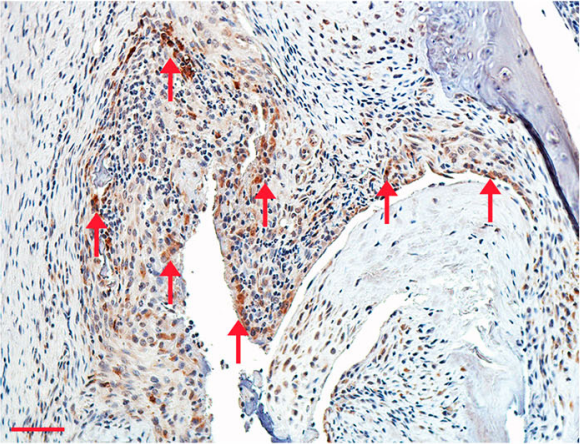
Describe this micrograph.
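This is synovial membrane in which a dense band of cells carries brown cytoplasmic staining, while the surrounding tissue stains mostly pale with blue nuclei. The brown-stained cells are crowded, with round to oval blue nuclei, and the band folds around a narrow open cleft. Outside the band, cells are spindle-shaped with elongated nuclei, lying in parallel streams within paler fibrous tissue. At the upper right and right edge lies pale, sparsely cellular matrix with rounded cells in lacunae.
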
